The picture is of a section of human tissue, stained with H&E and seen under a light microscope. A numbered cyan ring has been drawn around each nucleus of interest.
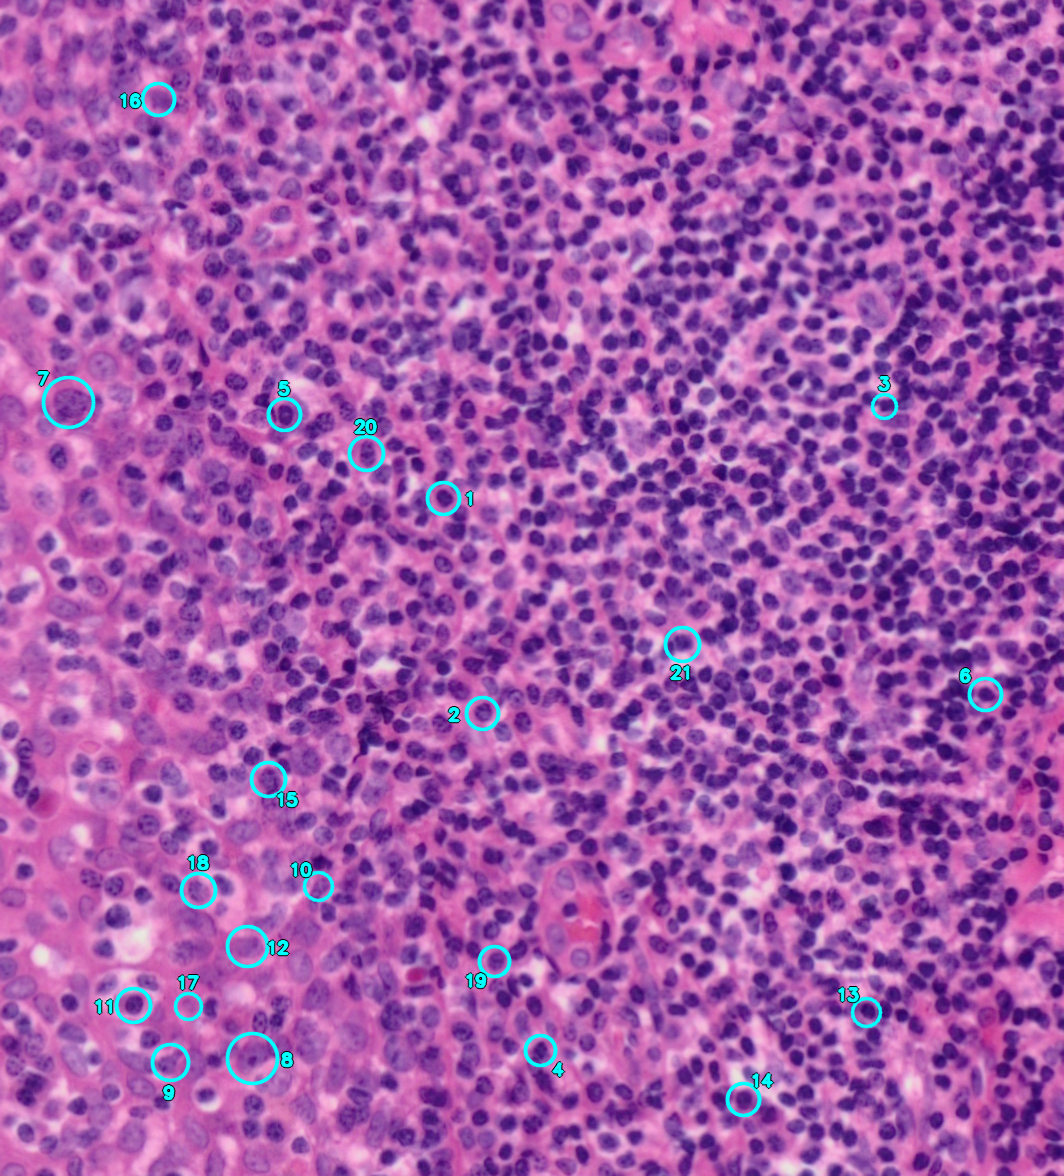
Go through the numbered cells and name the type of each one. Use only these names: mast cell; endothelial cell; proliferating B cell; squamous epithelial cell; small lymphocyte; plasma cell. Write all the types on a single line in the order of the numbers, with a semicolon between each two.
plasma cell; plasma cell; small lymphocyte; plasma cell; plasma cell; small lymphocyte; squamous epithelial cell; squamous epithelial cell; squamous epithelial cell; squamous epithelial cell; plasma cell; squamous epithelial cell; small lymphocyte; plasma cell; plasma cell; squamous epithelial cell; squamous epithelial cell; plasma cell; plasma cell; plasma cell; small lymphocyte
